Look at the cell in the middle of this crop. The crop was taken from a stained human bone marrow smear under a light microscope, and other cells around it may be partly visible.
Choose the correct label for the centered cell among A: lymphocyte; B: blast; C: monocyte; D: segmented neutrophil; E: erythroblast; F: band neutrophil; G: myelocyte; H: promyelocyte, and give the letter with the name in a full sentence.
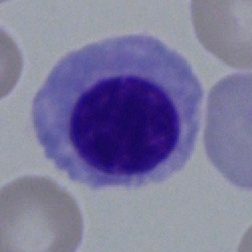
The central cell in this crop is an erythroblast, so the correct choice is option E.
